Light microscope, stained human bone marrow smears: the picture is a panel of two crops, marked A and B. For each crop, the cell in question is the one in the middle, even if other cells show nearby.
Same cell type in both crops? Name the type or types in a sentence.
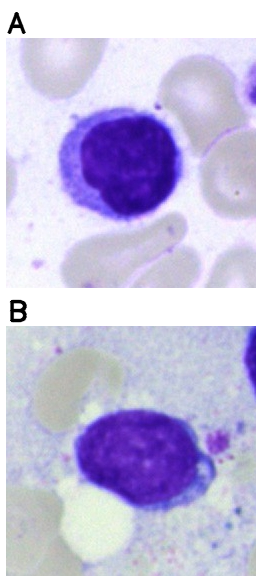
Yes, the cells at the middle of both crops are lymphocytes.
